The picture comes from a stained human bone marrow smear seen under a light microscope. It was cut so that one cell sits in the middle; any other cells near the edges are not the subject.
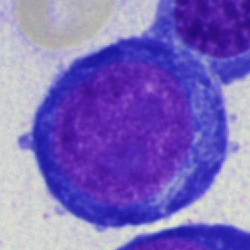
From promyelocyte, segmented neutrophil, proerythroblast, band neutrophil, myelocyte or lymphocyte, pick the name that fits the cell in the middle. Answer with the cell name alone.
proerythroblast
